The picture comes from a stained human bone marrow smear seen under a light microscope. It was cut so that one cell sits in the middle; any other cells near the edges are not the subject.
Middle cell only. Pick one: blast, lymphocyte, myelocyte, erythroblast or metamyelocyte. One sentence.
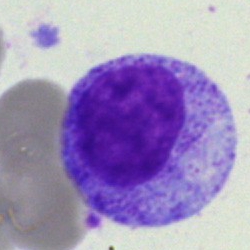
The cell shown in the center of this light-microscope crop is a myelocyte.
